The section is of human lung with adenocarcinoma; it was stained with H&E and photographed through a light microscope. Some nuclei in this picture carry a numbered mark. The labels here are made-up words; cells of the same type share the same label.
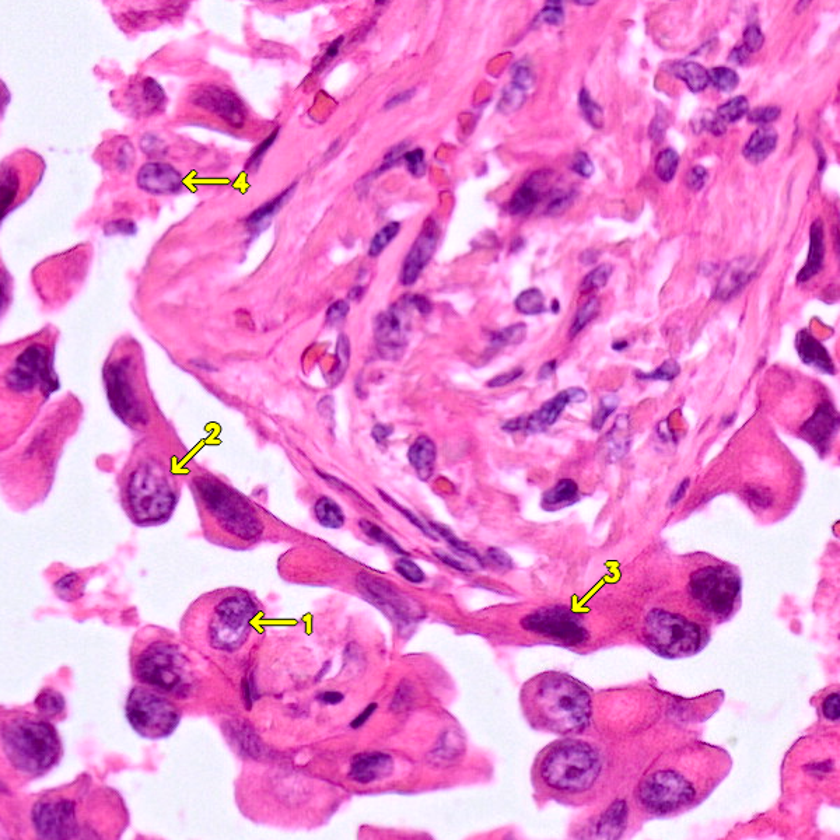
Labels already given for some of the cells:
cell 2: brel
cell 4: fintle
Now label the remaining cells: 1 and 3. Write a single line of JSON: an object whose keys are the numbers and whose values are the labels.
{"1": "brel", "3": "brel"}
